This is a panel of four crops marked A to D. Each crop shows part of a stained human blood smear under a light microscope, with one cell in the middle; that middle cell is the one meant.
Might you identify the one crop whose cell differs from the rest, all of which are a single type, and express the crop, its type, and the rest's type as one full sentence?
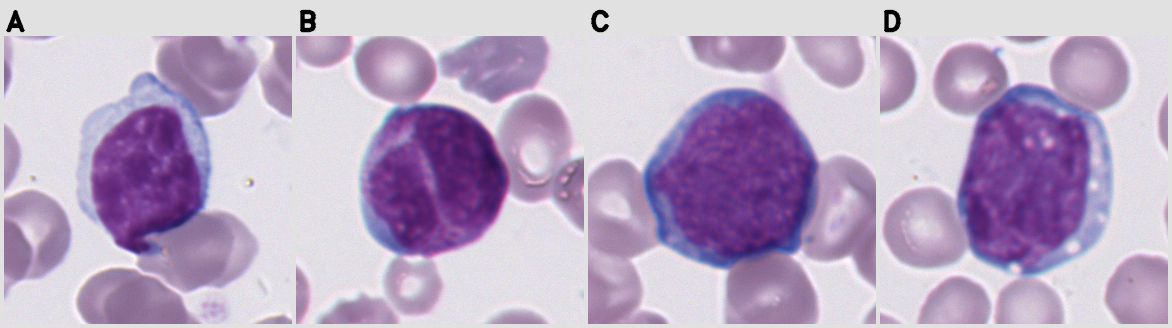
The single exception among the crops is crop B, which is an atypical promyelocyte; the rest show myeloblasts.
